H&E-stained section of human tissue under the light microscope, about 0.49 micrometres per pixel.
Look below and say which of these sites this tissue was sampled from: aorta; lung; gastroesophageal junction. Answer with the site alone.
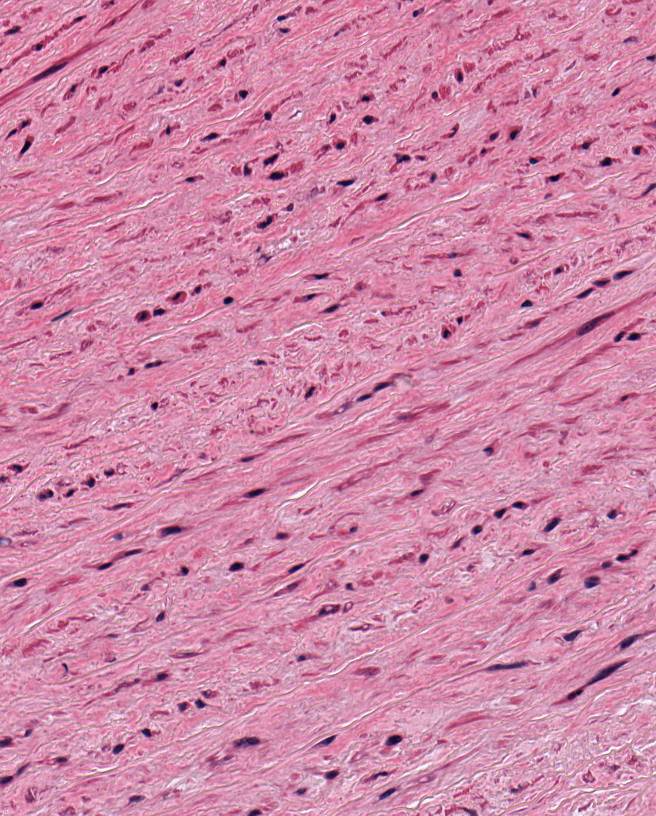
aorta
